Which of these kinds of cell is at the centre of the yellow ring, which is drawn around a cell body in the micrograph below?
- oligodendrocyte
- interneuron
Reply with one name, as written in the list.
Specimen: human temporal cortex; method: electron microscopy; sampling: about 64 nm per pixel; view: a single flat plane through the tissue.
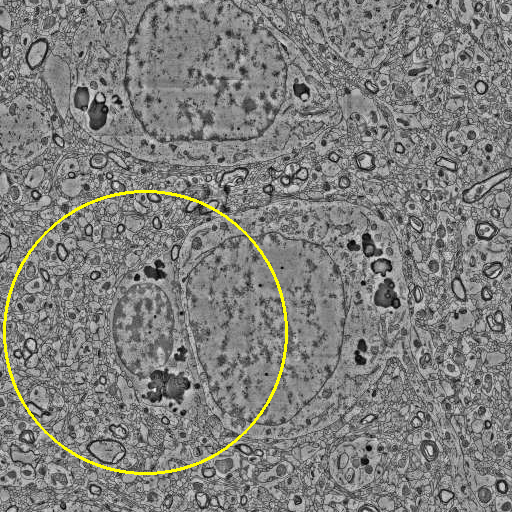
oligodendrocyte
